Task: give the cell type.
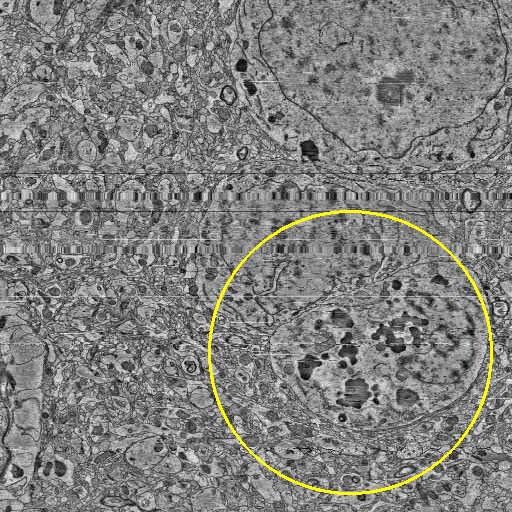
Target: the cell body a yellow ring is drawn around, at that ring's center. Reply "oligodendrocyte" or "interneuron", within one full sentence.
In this picture, the cell whose body lies at the ring's center is an interneuron.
